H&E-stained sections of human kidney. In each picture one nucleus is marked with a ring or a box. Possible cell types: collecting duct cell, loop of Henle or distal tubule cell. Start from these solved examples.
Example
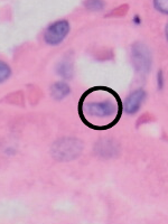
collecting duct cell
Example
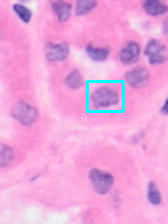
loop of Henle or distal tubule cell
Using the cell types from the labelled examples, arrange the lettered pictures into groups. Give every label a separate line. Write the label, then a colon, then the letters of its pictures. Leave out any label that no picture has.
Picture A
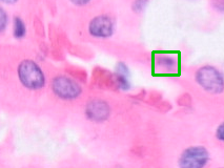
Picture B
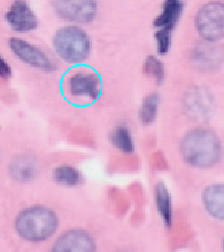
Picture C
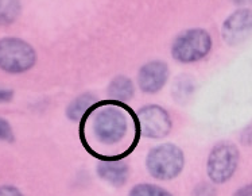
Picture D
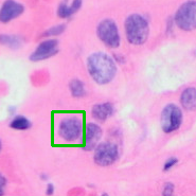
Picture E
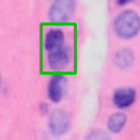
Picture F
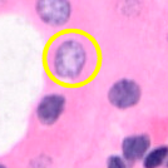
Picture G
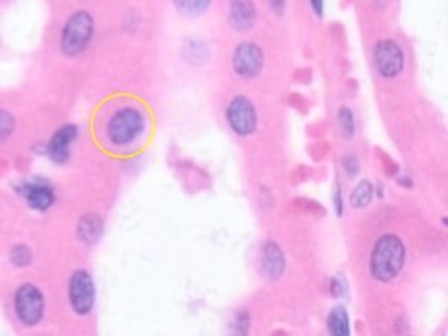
collecting duct cell: C, D, E
loop of Henle or distal tubule cell: A, B, F, G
